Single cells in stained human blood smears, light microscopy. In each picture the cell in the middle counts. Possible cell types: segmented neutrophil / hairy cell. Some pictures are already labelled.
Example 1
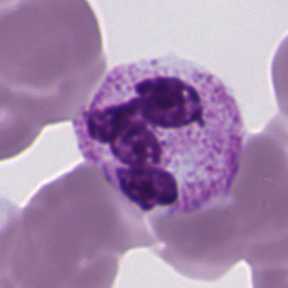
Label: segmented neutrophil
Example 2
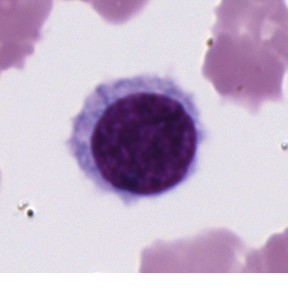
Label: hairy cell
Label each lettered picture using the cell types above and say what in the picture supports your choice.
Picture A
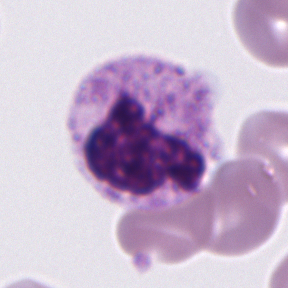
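segmented neutrophil. Evidence: The cytoplasm is abundant and widest above the nucleus.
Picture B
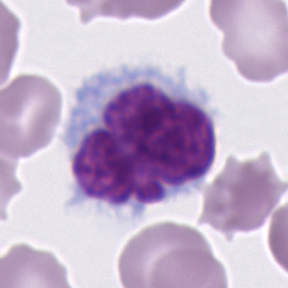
hairy cell. Evidence: The cytoplasm is a scant, pale blue rim.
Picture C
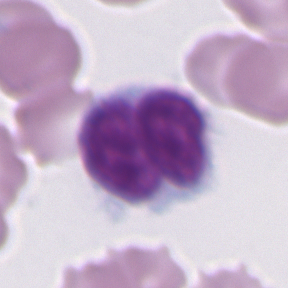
hairy cell. Evidence: The nucleus fills most of the cell.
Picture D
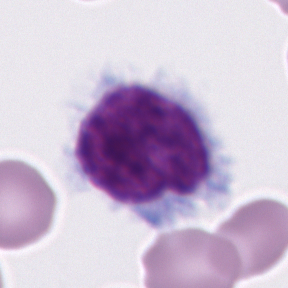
hairy cell. Evidence: The cytoplasm forms a narrow rim that is widest below the nucleus.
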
